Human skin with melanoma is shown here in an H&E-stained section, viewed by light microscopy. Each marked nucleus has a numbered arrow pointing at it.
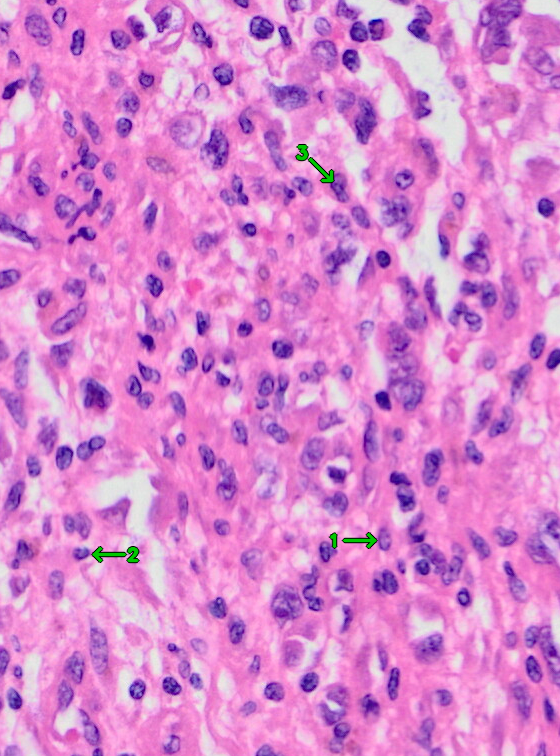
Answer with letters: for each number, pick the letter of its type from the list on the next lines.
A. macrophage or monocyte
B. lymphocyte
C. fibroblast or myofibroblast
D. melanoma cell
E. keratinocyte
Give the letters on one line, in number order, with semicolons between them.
A; B; A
